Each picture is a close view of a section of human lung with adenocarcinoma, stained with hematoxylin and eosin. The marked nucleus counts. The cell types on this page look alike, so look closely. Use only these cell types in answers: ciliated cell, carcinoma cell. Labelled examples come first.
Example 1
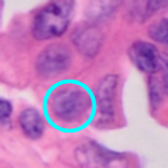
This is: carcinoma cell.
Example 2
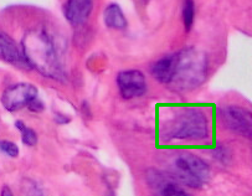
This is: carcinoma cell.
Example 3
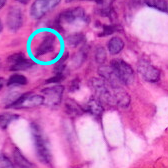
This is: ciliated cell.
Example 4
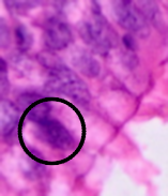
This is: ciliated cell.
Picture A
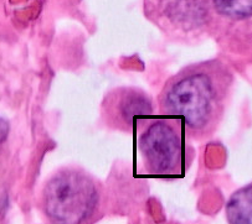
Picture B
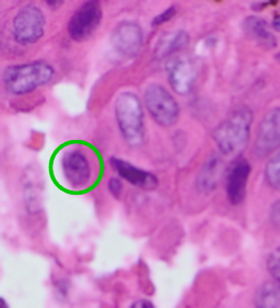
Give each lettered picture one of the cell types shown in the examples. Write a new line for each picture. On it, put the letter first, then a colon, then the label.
A: carcinoma cell.
B: carcinoma cell.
